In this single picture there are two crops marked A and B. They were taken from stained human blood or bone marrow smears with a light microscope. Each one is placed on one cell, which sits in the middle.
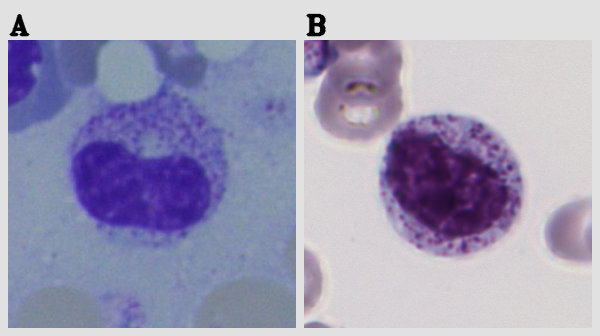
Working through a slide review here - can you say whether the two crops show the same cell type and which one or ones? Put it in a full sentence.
Yes, the cells at the middle of both crops are metamyelocytes.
